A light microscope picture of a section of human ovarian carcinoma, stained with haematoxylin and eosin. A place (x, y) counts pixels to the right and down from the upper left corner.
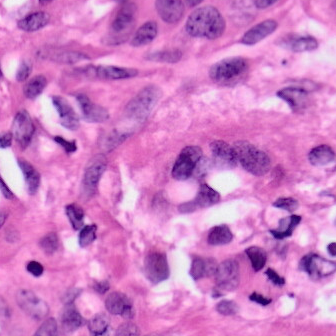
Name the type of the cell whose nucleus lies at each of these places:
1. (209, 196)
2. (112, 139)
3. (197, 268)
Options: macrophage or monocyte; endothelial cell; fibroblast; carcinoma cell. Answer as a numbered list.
1. carcinoma cell
2. endothelial cell
3. carcinoma cell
